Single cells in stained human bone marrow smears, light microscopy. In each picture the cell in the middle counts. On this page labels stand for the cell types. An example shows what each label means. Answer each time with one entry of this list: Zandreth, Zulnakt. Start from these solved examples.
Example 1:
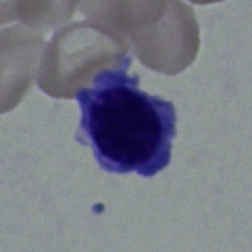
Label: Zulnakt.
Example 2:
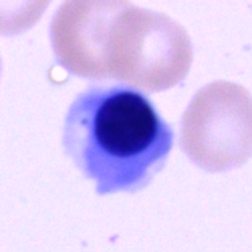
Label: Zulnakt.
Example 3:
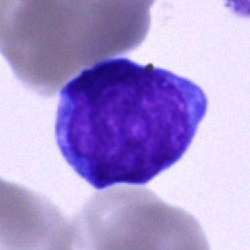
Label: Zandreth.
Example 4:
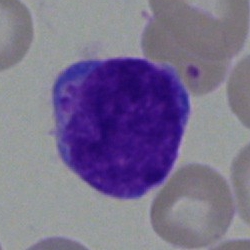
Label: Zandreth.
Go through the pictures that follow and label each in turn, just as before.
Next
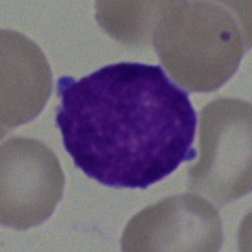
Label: Zandreth.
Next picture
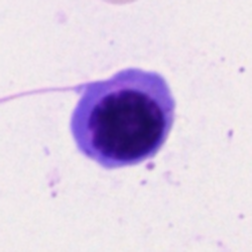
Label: Zulnakt.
